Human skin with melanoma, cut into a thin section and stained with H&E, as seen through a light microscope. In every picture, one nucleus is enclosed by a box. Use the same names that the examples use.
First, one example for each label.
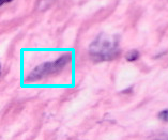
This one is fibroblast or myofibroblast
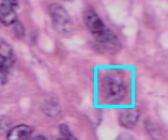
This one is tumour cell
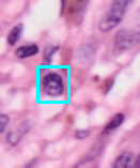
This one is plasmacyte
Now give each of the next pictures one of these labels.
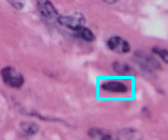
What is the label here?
plasmacyte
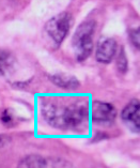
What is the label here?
tumour cell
